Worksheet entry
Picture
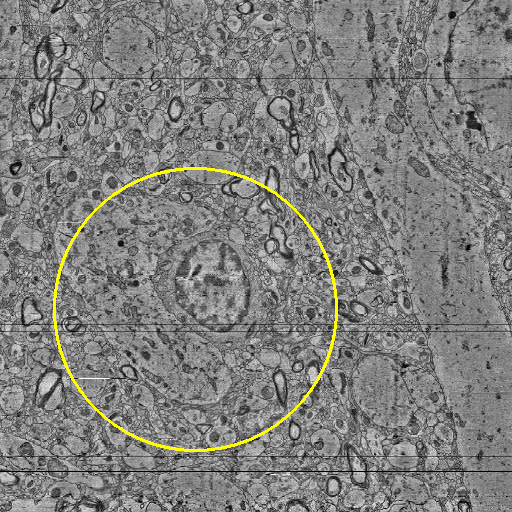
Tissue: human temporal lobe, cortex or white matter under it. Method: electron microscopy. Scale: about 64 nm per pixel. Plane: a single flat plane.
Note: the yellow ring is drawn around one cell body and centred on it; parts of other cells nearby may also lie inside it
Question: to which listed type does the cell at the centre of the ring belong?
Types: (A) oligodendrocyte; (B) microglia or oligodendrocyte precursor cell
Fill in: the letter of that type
A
